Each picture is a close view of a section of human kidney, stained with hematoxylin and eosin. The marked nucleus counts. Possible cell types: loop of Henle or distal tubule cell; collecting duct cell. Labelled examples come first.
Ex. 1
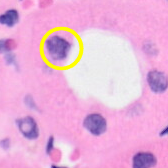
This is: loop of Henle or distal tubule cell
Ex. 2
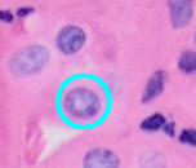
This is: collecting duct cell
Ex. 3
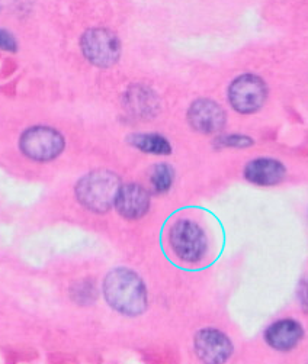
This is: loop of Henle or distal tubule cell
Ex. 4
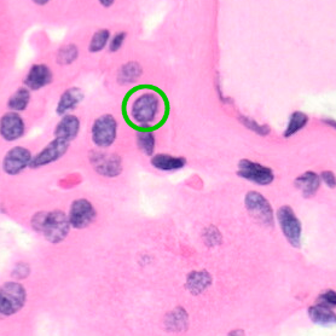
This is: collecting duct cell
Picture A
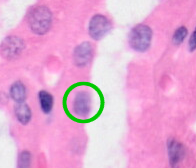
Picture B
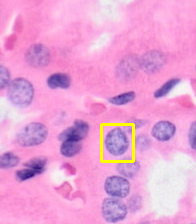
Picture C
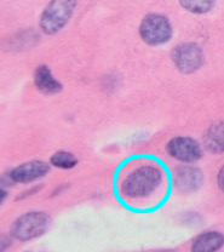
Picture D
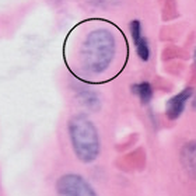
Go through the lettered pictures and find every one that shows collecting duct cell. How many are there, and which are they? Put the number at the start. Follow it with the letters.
3: B, C, D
